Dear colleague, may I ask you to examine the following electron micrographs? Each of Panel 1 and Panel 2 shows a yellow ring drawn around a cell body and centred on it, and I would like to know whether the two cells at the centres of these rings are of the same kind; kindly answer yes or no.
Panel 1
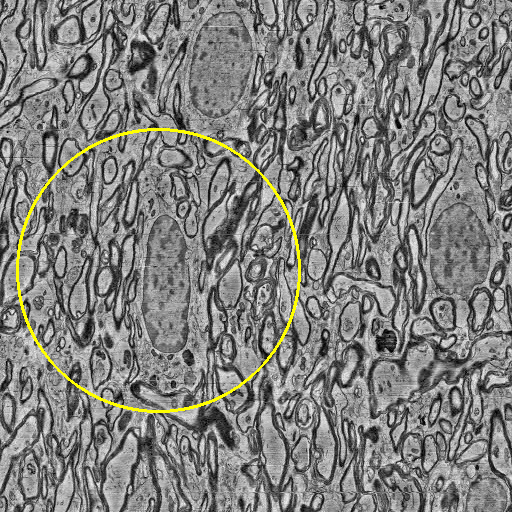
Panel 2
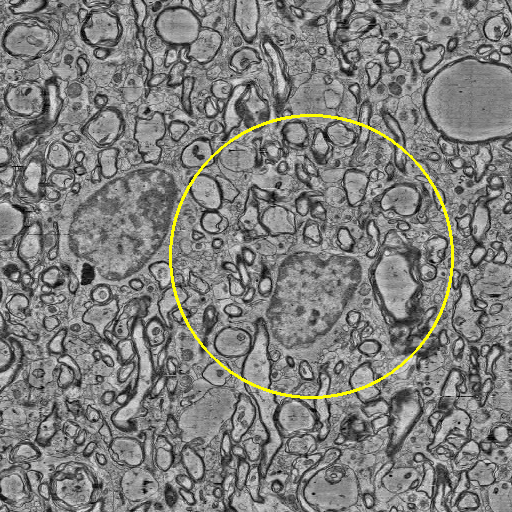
no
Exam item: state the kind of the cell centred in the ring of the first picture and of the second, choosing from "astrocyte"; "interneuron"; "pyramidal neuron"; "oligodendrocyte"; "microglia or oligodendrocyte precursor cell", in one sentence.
The first picture shows a microglial cell or oligodendrocyte precursor cell at the ring centre and the second shows an oligodendrocyte.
